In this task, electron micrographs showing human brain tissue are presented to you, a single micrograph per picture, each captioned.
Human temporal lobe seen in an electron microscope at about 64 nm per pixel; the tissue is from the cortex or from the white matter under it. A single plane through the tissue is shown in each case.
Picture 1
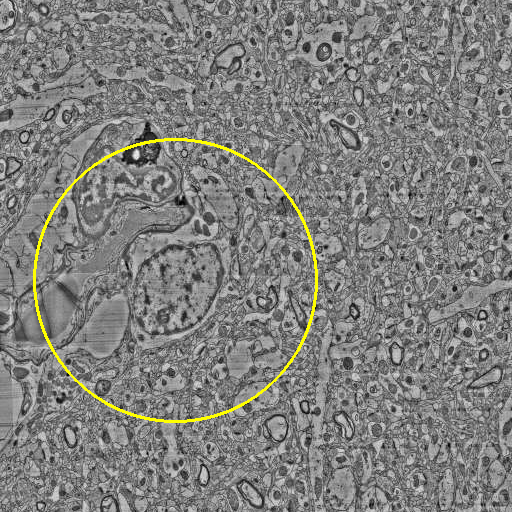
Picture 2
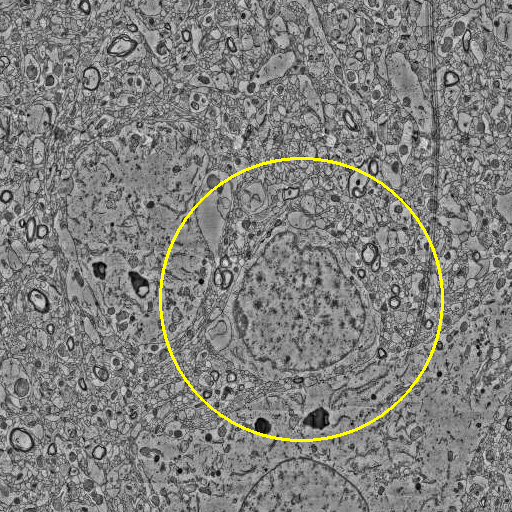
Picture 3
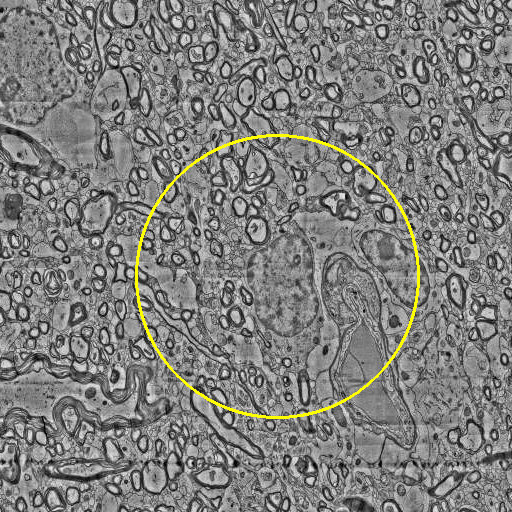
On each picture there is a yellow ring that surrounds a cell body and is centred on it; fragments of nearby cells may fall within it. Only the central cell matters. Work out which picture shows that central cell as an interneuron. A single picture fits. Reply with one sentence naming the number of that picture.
Of all the pictures, number 2 has the right cell in the centre of its ring.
